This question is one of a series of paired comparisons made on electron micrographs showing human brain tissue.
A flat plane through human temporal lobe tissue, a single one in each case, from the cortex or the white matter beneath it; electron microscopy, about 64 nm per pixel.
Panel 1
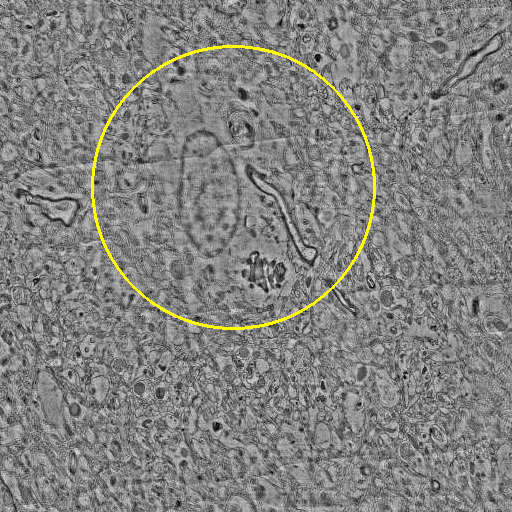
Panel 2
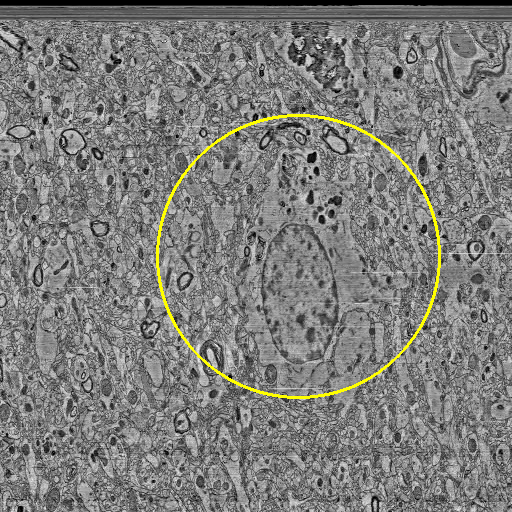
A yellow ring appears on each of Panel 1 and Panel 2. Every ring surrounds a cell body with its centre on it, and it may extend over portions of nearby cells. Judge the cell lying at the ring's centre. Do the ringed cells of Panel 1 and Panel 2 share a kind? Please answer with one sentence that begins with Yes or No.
Yes, the ring-centre cell in Panel 1 and the one in Panel 2 are of one kind.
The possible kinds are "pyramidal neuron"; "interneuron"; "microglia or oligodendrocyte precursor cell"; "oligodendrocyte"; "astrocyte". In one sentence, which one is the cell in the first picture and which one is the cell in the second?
Each cell, in the first picture and the second, is an astrocyte.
